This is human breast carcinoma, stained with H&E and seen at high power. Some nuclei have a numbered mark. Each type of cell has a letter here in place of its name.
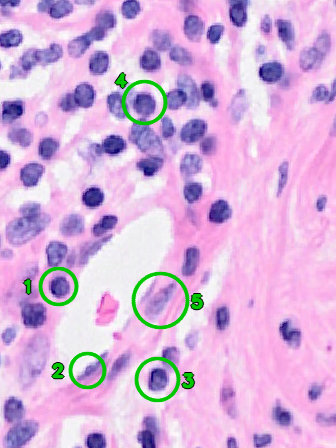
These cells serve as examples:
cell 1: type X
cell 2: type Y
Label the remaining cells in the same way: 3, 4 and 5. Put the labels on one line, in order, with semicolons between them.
type X; type X; type Y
